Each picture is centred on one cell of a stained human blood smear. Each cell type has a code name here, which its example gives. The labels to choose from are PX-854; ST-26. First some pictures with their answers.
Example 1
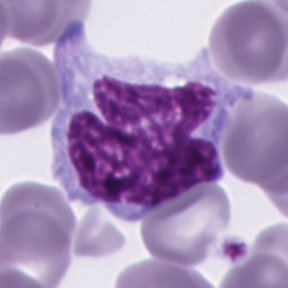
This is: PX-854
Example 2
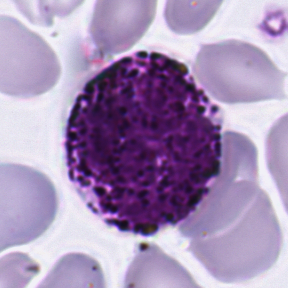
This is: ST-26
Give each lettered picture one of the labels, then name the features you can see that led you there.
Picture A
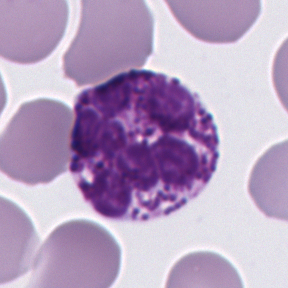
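Label: ST-26. Coarse dark purple granules are scattered throughout the cell.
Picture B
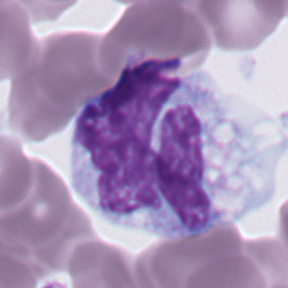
Label: PX-854. The cytoplasm holds fine, faint lilac granules.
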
